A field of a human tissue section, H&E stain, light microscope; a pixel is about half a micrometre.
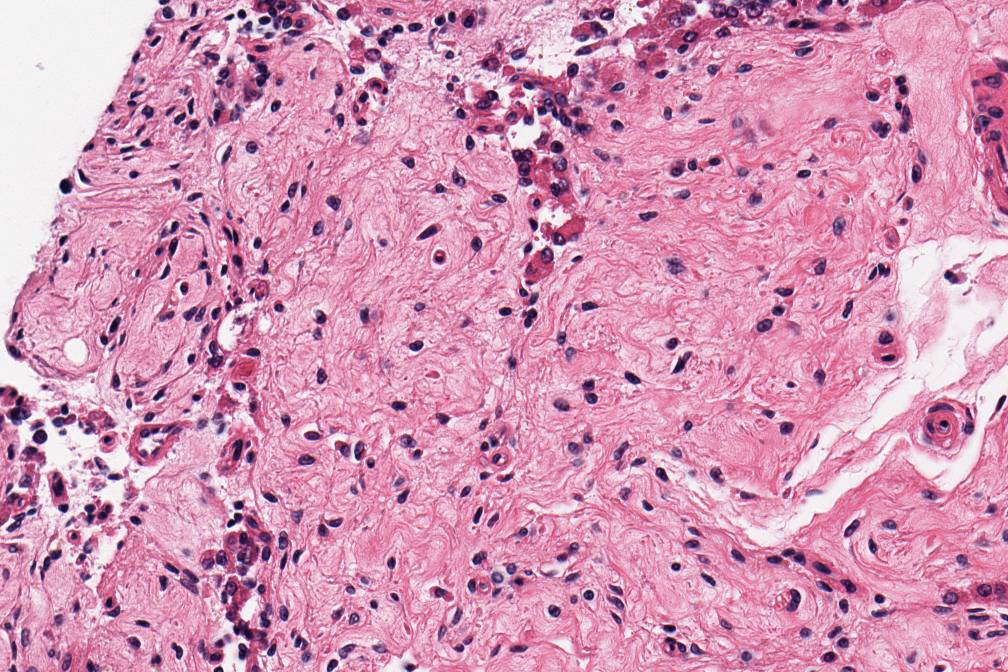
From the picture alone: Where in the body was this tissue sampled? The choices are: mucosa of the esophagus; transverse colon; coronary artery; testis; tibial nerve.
testis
